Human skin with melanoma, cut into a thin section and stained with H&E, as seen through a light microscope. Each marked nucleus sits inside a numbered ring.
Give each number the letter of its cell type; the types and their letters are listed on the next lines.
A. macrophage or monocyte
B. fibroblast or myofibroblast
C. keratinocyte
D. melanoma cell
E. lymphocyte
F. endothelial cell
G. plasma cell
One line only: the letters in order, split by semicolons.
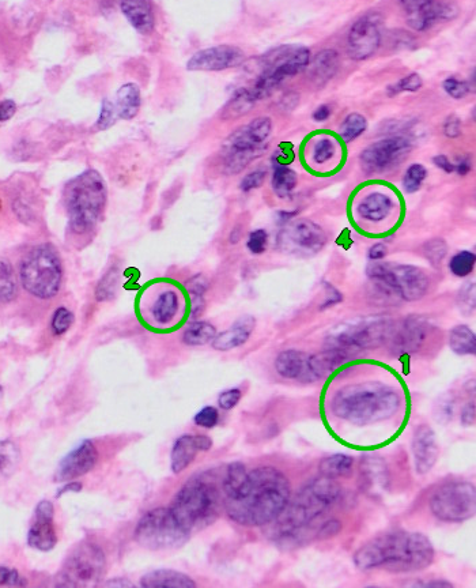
D; E; E; E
